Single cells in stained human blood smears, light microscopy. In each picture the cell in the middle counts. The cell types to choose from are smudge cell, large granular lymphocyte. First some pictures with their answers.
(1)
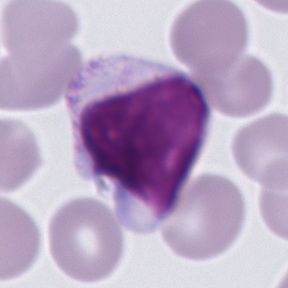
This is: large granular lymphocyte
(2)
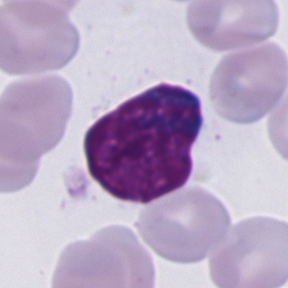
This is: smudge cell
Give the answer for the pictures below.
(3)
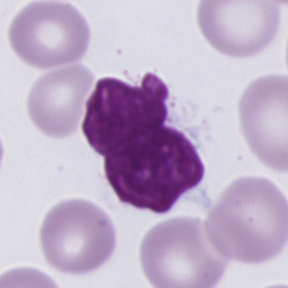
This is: smudge cell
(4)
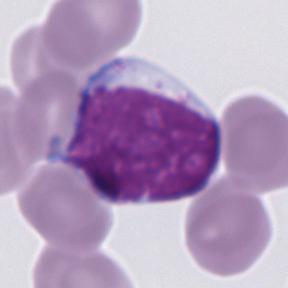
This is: large granular lymphocyte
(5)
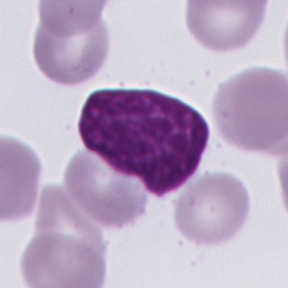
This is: smudge cell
